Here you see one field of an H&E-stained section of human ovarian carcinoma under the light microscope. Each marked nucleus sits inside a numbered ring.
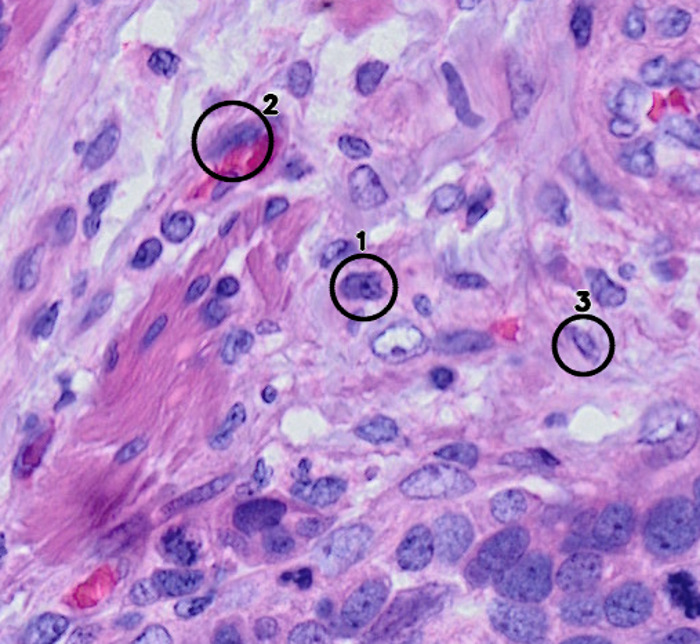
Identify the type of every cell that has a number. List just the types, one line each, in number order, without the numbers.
macrophage or monocyte
endothelial cell
fibroblast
